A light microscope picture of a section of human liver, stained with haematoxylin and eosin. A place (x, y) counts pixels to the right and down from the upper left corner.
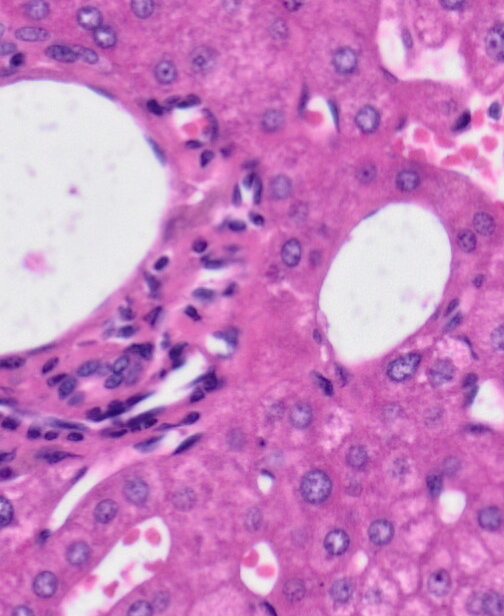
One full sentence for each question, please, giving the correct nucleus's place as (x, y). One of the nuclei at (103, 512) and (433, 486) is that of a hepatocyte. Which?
Between the pair, the nucleus at (103, 512) belongs to a hepatocyte.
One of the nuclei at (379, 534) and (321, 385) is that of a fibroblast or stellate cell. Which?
The one belonging to a fibroblast or stellate cell is the nucleus at (321, 385), not the other.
